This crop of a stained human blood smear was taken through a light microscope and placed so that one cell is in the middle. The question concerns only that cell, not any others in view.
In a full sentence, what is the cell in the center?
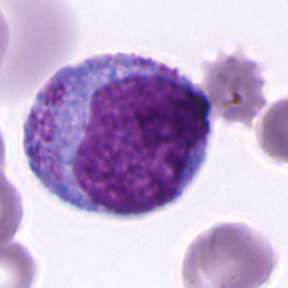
In short, the cell at the center is a promyelocyte.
